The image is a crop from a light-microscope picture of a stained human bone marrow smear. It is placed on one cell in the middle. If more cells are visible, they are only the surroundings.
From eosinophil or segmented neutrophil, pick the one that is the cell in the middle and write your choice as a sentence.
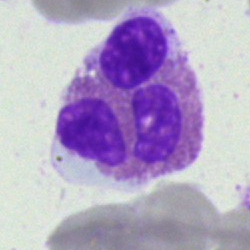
In the crop, the cell of interest at the centre is an eosinophil.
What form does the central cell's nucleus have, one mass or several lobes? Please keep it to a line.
Counting the nuclear lobes gives a total of at least two.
